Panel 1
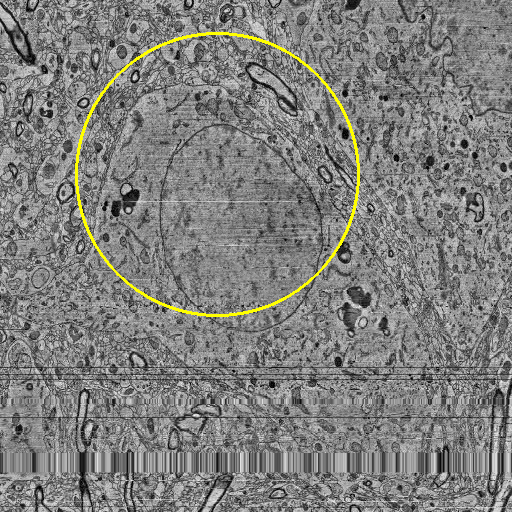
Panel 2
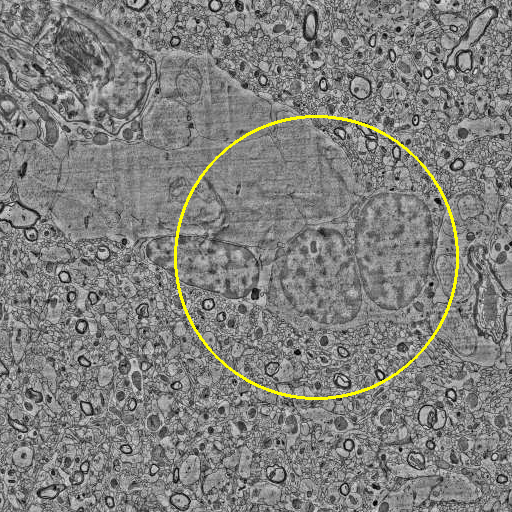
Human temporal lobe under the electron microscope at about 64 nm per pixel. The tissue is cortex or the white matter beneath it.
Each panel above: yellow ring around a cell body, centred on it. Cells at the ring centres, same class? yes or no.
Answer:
no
